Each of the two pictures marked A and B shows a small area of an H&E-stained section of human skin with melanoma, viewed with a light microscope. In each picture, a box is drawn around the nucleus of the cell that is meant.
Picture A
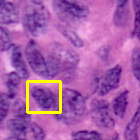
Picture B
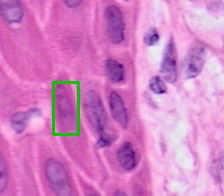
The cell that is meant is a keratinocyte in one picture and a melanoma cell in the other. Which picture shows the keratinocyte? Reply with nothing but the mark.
B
